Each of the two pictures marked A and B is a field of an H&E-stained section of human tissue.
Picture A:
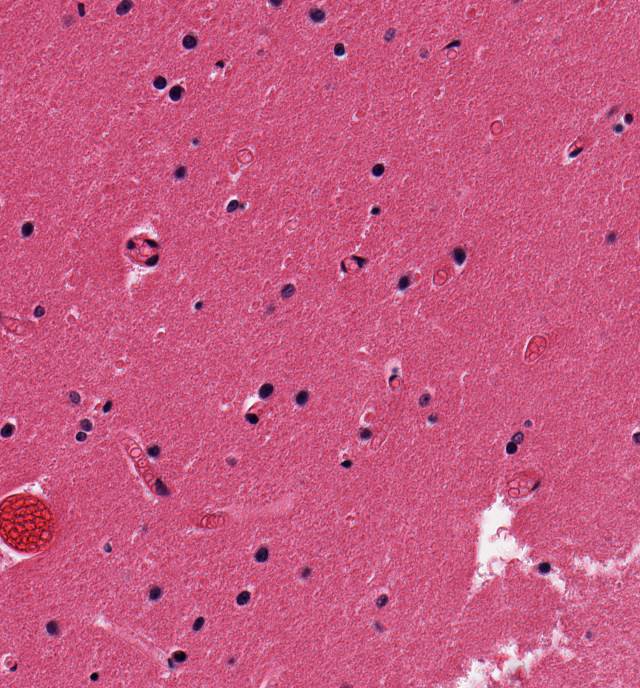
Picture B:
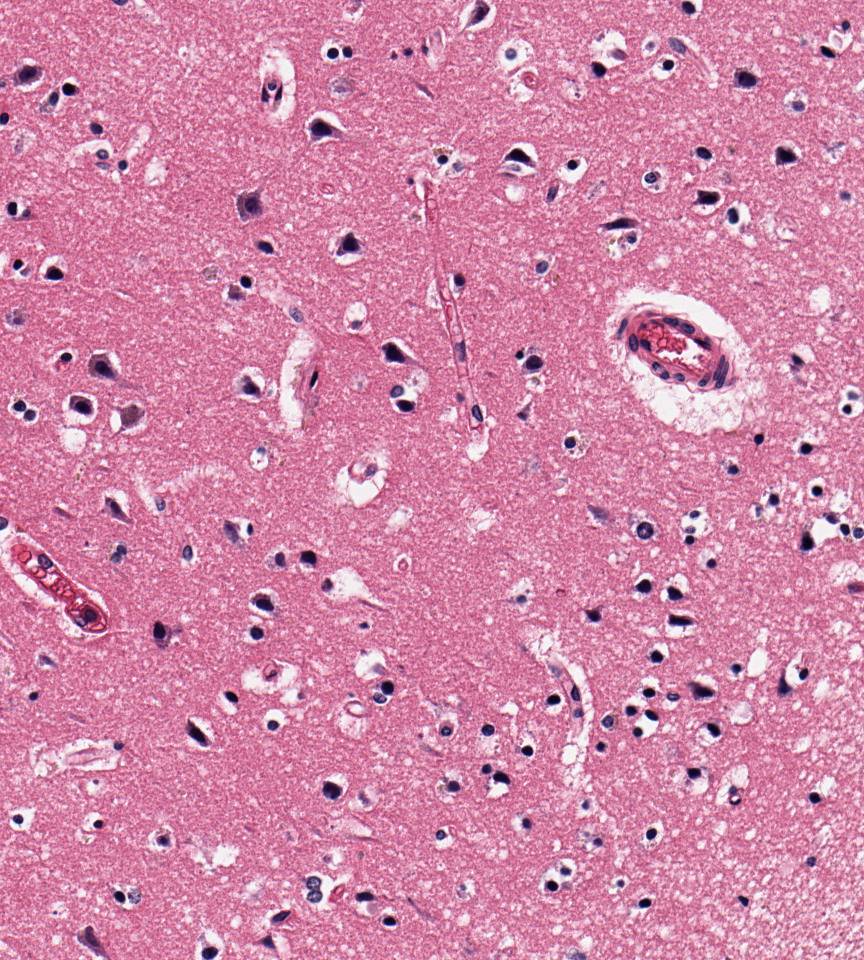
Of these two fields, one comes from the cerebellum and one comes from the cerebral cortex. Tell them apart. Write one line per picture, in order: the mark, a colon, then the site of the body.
A: cerebellum
B: cerebral cortex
